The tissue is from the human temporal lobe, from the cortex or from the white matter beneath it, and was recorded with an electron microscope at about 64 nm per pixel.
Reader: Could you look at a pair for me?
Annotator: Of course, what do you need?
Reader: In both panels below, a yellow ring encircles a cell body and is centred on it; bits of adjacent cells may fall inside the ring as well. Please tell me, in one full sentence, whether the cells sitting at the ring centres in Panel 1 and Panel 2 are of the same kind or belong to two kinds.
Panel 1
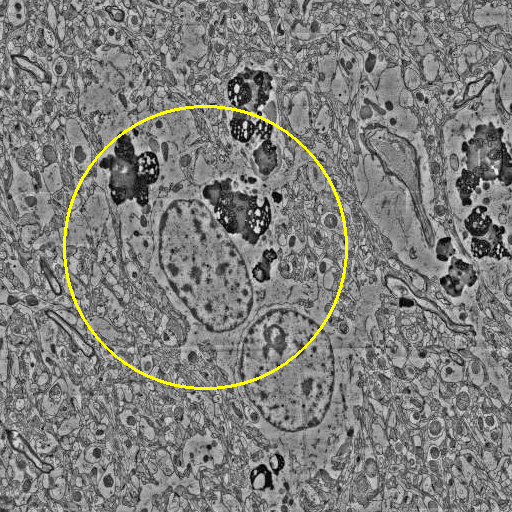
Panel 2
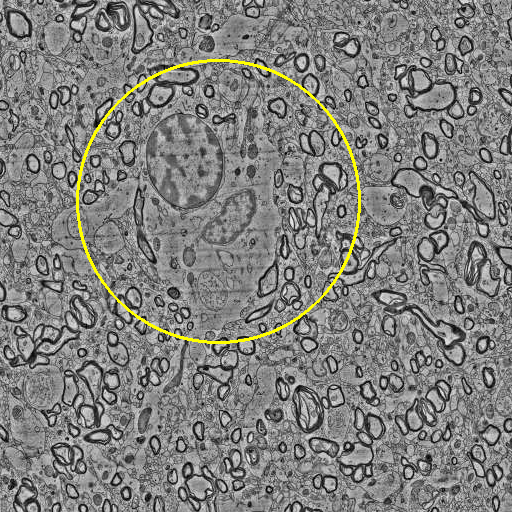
The cell at the ring's centre in Panel 1 and the one in Panel 2 are of the same kind.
